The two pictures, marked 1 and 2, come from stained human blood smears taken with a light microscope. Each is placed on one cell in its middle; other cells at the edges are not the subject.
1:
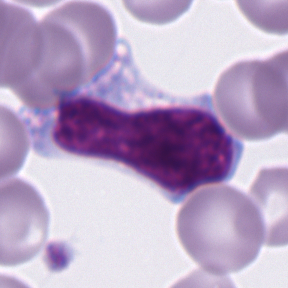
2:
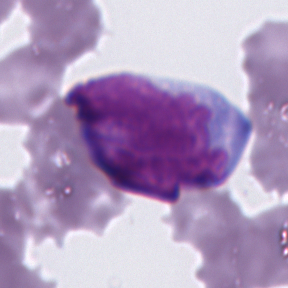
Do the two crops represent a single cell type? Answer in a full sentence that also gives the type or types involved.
No, crop 1 holds a typical lymphocyte, and a myeloblast occupies crop 2.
